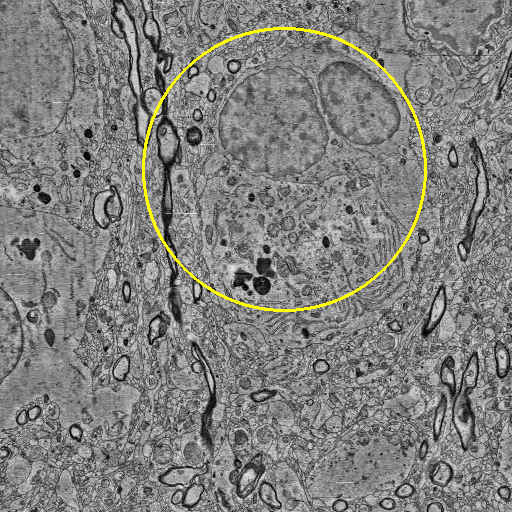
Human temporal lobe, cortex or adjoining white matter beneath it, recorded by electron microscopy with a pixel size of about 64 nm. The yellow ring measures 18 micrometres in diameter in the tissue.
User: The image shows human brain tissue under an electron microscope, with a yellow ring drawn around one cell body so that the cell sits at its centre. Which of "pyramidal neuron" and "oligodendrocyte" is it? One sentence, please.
At the centre of the ring sits an oligodendrocyte.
